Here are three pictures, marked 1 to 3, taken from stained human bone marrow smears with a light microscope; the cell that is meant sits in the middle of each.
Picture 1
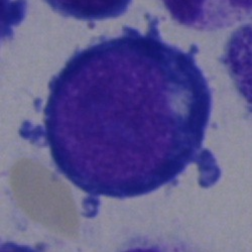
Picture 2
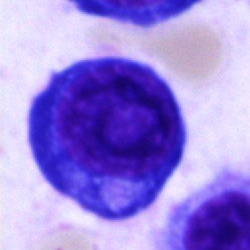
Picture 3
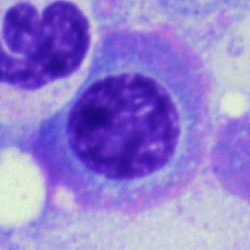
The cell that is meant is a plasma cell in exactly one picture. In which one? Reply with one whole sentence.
The picture with the plasma cell is 3.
